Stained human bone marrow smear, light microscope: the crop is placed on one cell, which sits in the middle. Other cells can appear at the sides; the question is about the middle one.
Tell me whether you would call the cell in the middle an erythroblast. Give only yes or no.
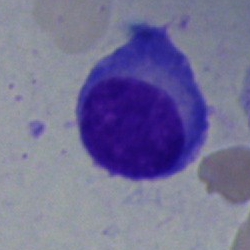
no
